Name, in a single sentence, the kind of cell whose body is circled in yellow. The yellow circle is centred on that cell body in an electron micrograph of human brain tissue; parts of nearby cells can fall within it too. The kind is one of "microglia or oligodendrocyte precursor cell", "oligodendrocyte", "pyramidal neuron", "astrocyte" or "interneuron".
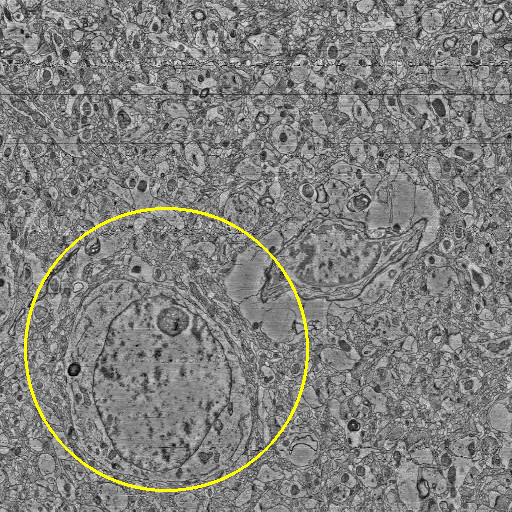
The circled cell body belongs to a pyramidal neuron.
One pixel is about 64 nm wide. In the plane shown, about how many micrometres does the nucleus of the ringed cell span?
Approximately 12 x 9 micrometres in this plane.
